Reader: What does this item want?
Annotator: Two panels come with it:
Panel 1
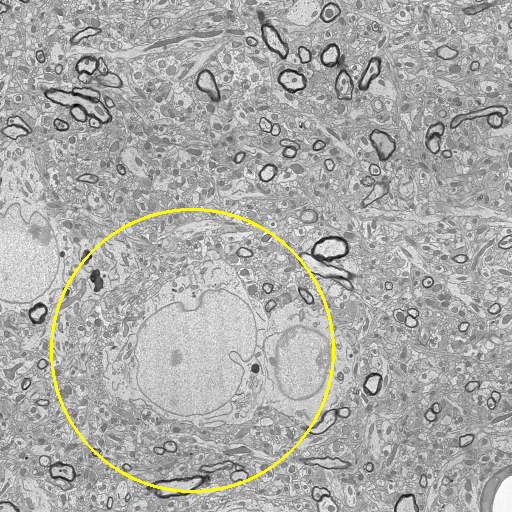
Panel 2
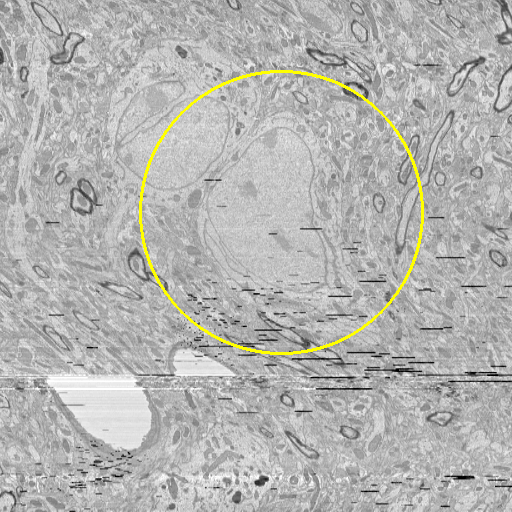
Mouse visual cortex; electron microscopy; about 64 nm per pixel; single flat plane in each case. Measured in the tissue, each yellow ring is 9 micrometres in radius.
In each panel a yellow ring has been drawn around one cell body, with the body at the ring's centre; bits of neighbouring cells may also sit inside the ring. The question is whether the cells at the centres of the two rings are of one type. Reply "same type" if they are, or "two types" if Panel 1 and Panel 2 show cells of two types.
same type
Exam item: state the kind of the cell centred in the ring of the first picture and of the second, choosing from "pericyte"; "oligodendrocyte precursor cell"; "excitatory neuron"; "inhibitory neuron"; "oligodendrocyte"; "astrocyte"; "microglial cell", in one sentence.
The cell in the first picture is an excitatory neuron, and so is the one in the second.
